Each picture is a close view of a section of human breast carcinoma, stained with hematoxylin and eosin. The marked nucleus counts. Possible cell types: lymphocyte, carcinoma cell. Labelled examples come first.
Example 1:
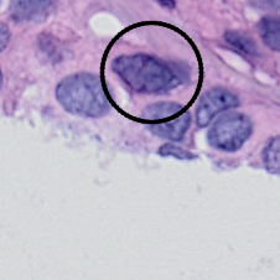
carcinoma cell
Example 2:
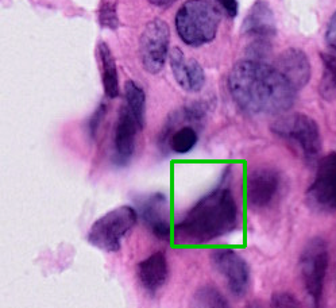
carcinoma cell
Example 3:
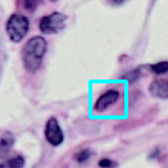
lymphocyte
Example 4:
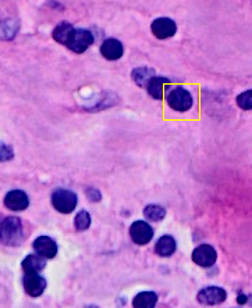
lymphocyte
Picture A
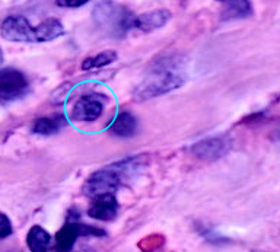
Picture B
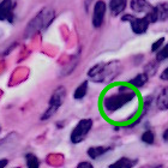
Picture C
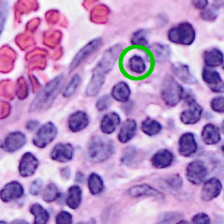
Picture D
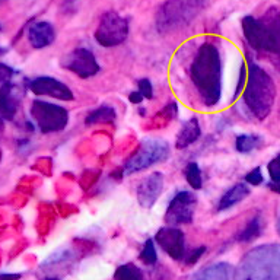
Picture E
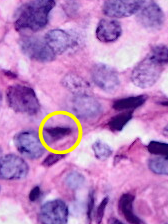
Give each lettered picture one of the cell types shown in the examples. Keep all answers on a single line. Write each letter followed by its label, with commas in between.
A lymphocyte, B lymphocyte, C lymphocyte, D carcinoma cell, E carcinoma cell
